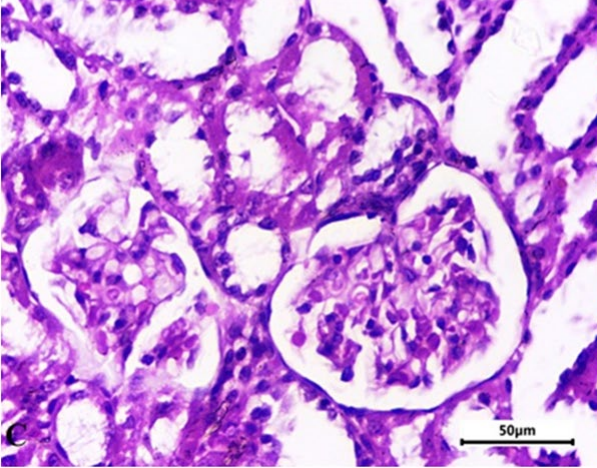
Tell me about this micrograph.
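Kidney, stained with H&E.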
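This is renal cortex at high magnification, showing two glomeruli, each a tuft of capillaries with dark purple nuclei sitting inside a clear space bounded by the thin wall of Bowman's capsule. The left tuft is irregular and holds small clear vacuole-like gaps, so its usual lobular pattern is hard to make out. Around the corpuscles lie cross-cut renal tubules lined by cuboidal cells with round dark nuclei and pink cytoplasm; several tubules have pale, frothy or cleared cytoplasm and wide, empty-looking lumens. Scattered dark nuclei also sit in the narrow interstitium between the tubules.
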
